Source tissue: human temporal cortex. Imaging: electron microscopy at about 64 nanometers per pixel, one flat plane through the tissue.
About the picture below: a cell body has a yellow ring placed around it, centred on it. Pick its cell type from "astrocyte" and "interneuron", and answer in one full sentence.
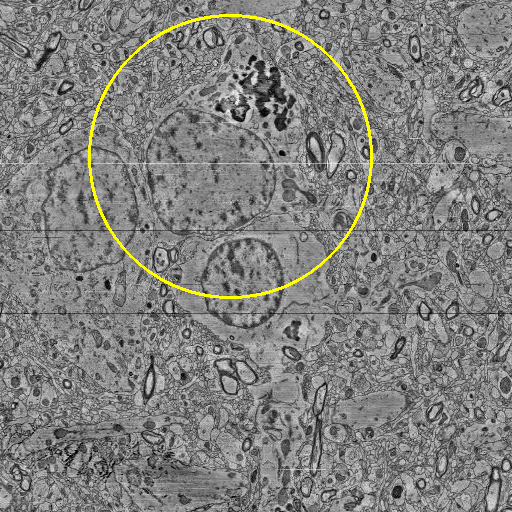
In the picture, an astrocyte is the cell sitting at the centre of the yellow ring.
